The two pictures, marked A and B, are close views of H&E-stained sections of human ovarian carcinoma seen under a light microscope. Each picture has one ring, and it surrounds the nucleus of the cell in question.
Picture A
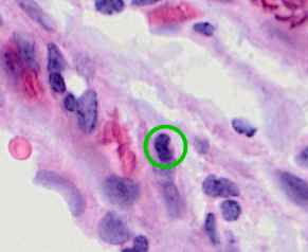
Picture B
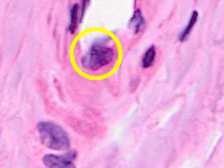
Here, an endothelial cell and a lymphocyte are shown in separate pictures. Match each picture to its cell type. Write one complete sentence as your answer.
Picture A shows a lymphocyte and picture B shows an endothelial cell.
